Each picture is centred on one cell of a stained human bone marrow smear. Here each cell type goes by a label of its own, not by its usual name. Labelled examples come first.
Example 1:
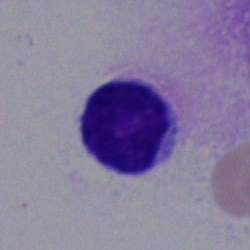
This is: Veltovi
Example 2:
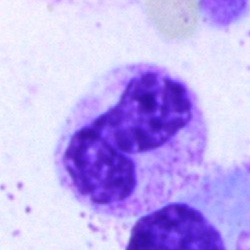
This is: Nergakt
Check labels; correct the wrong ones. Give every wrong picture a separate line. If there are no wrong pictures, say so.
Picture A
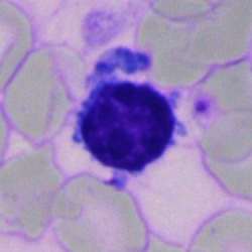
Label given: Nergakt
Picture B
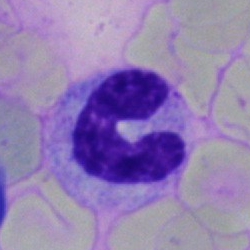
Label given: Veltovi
A: Veltovi, not Nergakt
B: Nergakt, not Veltovi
